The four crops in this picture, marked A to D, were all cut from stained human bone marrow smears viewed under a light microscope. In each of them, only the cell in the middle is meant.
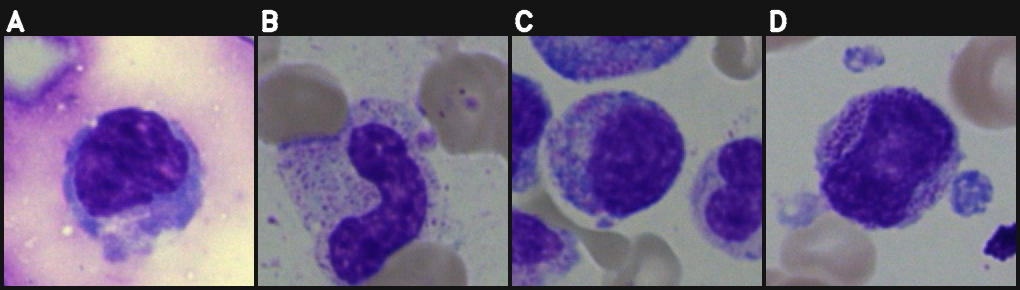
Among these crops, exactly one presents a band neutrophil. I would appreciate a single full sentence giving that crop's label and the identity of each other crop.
In this group, crop B shows a band neutrophil, while crop A is a monocyte, crop C is a myelocyte and crop D is a metamyelocyte.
